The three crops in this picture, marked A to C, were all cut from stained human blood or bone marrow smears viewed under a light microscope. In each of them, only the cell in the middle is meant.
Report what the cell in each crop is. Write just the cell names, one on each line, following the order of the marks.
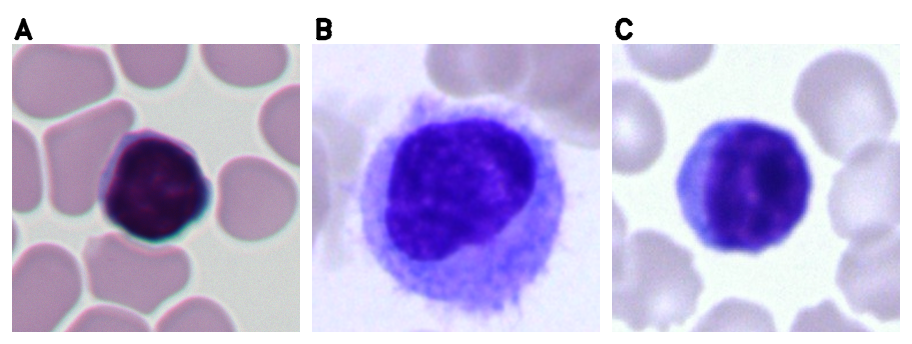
lymphocyte
hairy cell
lymphocyte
